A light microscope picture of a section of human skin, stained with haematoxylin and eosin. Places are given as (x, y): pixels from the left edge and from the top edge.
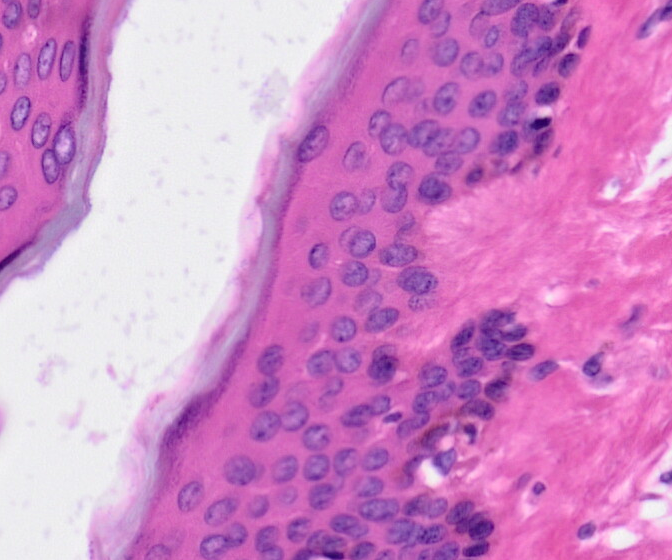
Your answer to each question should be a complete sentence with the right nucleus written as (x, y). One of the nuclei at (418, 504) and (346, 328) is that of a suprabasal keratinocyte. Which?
The nucleus at (346, 328) is the member of the pair belonging to a suprabasal keratinocyte.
